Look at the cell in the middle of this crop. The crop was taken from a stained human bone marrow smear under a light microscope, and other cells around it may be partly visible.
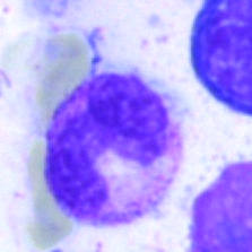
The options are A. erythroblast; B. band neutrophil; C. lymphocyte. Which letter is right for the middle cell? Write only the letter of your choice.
B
